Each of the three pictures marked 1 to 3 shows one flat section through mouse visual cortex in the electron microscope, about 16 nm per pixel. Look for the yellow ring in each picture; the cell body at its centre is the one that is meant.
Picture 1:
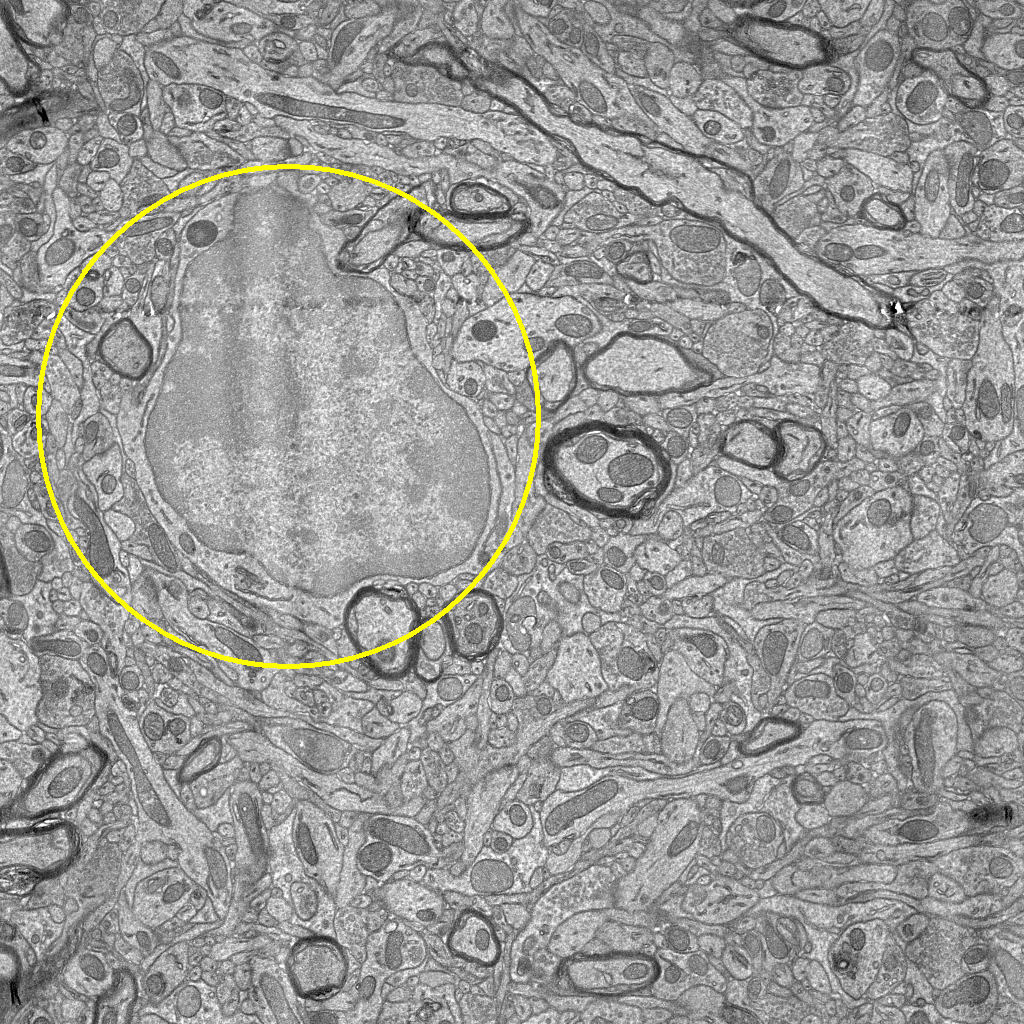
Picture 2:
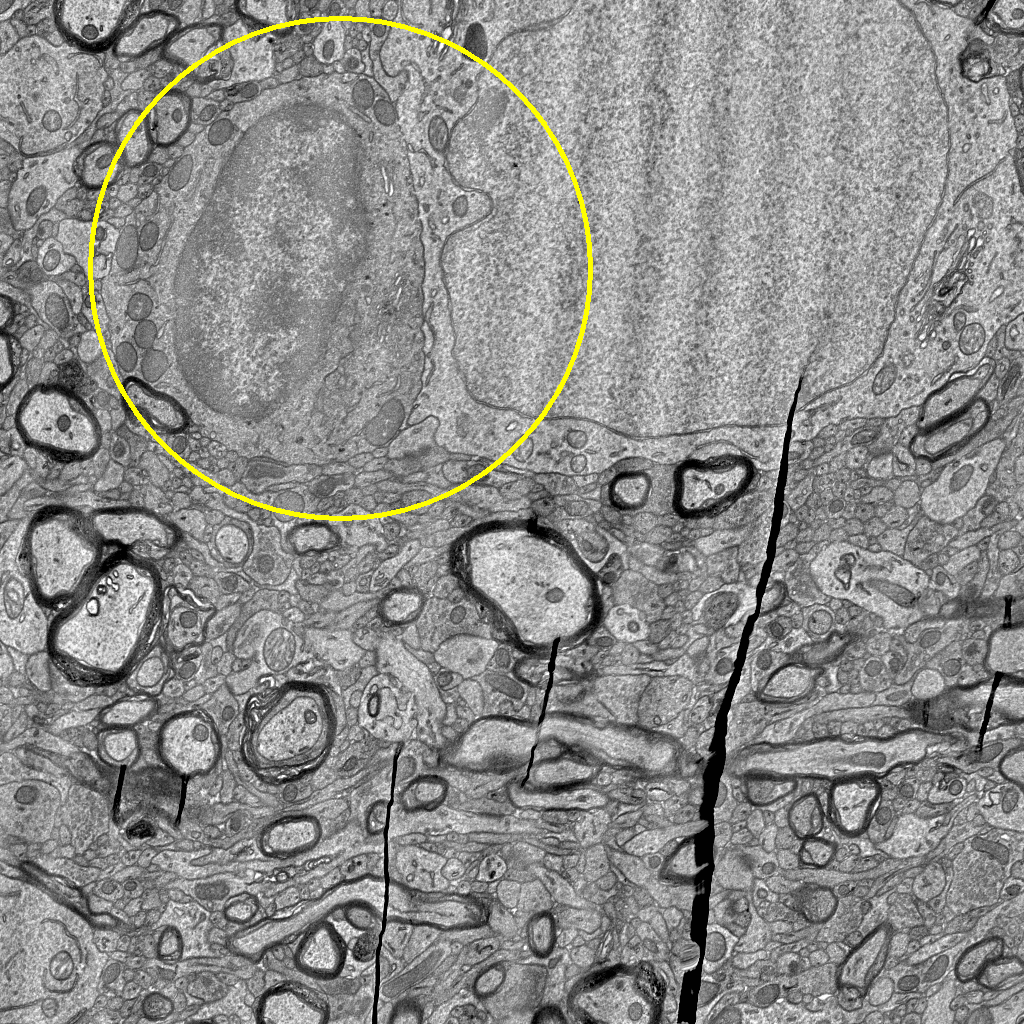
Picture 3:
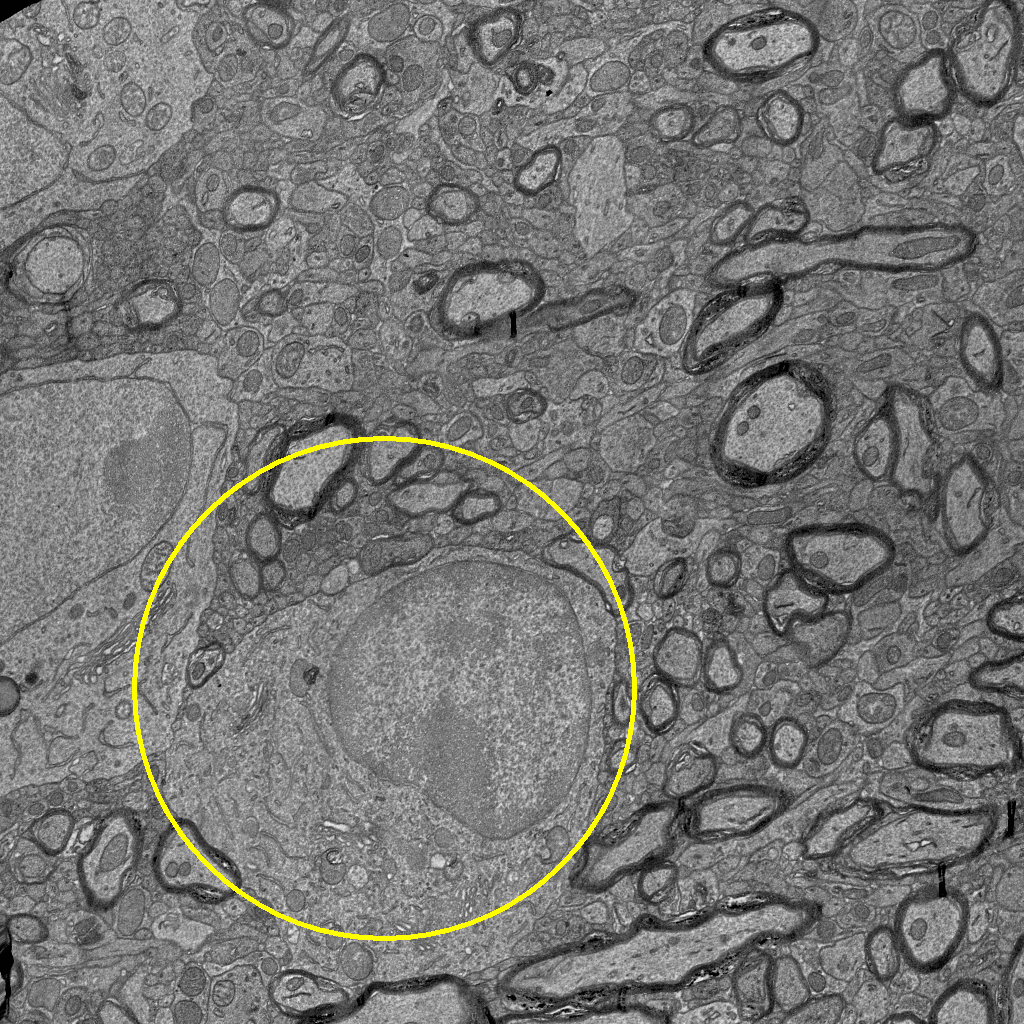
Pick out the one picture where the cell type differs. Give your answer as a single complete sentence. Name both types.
The different one is picture 1; it shows a microglial cell, whereas all the others show oligodendrocytes.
